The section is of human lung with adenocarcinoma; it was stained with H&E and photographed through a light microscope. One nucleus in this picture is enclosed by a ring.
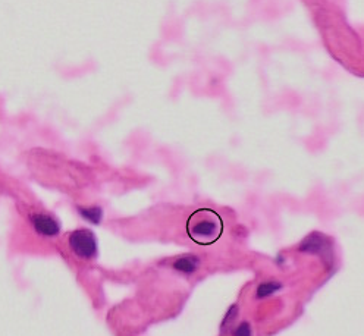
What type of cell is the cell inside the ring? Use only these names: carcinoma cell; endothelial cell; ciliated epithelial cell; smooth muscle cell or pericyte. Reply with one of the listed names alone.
endothelial cell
